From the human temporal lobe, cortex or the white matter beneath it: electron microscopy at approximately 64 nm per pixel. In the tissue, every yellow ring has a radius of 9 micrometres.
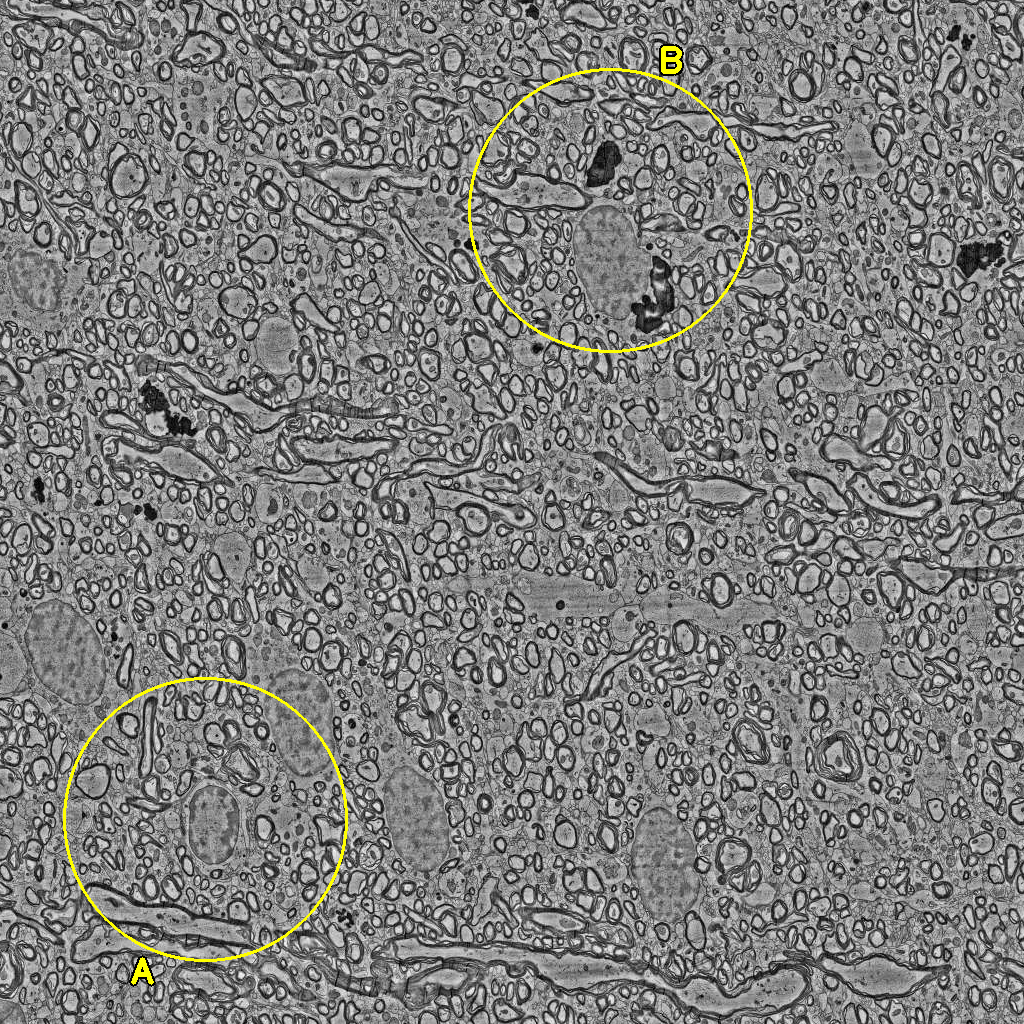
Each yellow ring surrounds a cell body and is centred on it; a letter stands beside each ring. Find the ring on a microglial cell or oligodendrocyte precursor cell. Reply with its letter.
A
